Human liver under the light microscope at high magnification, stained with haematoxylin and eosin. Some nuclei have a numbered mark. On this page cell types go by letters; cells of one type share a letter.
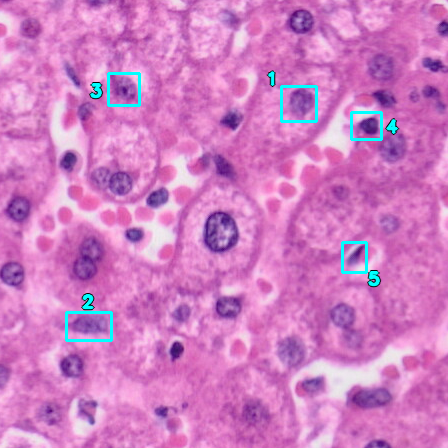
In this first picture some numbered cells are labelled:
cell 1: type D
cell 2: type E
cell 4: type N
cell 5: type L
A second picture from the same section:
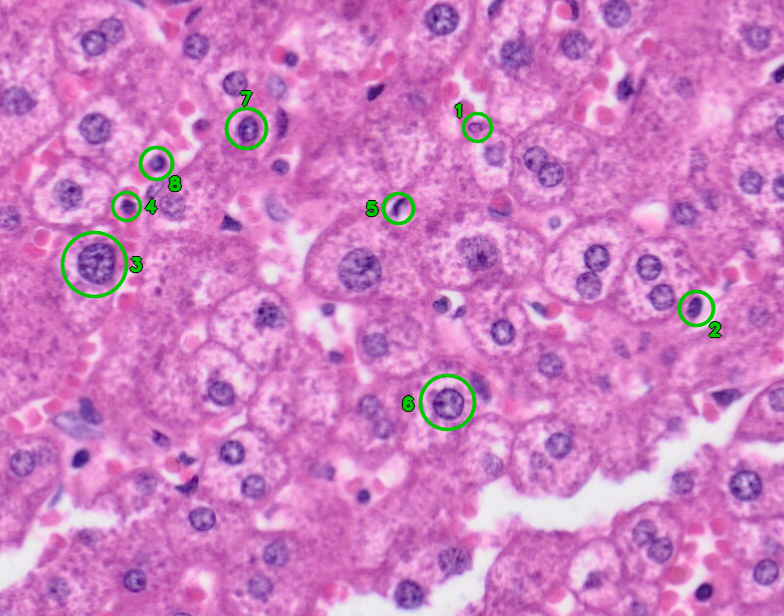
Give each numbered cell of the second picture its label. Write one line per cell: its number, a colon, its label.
1: type E
2: type N
3: type D
4: type N
5: type L
6: type D
7: type D
8: type N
